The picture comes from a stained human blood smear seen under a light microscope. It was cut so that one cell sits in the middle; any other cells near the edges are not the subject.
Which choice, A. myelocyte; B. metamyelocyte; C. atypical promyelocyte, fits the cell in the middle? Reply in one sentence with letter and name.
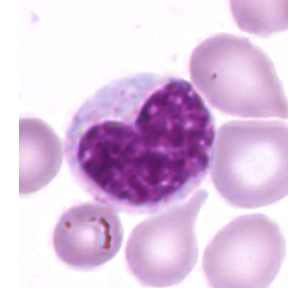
Seen at the centre of the crop is a metamyelocyte, so option B is correct.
